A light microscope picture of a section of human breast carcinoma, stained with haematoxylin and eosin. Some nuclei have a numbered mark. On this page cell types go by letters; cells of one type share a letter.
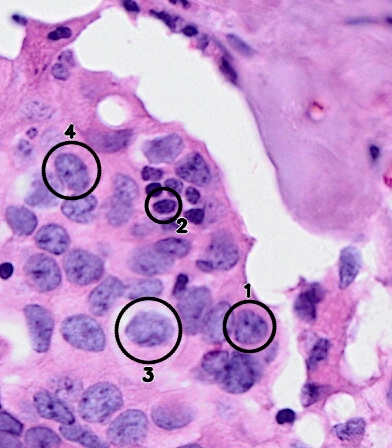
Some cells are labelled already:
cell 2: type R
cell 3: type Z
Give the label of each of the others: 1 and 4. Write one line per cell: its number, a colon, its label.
1: type Z
4: type Z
